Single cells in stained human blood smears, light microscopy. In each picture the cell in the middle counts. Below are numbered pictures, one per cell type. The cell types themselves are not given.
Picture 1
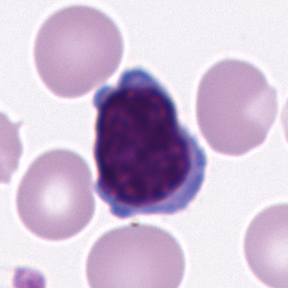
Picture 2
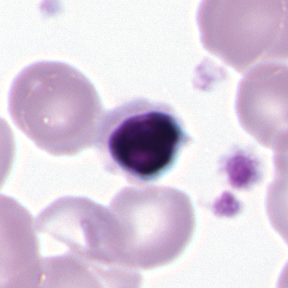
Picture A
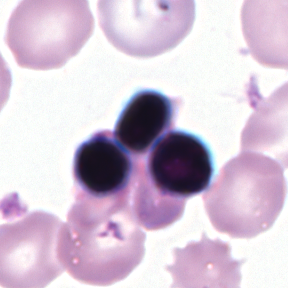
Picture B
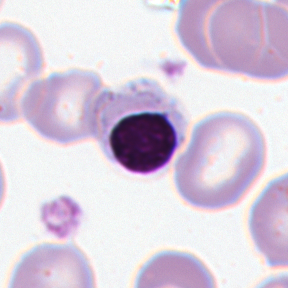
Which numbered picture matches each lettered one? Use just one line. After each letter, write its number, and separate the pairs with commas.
A 2, B 2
